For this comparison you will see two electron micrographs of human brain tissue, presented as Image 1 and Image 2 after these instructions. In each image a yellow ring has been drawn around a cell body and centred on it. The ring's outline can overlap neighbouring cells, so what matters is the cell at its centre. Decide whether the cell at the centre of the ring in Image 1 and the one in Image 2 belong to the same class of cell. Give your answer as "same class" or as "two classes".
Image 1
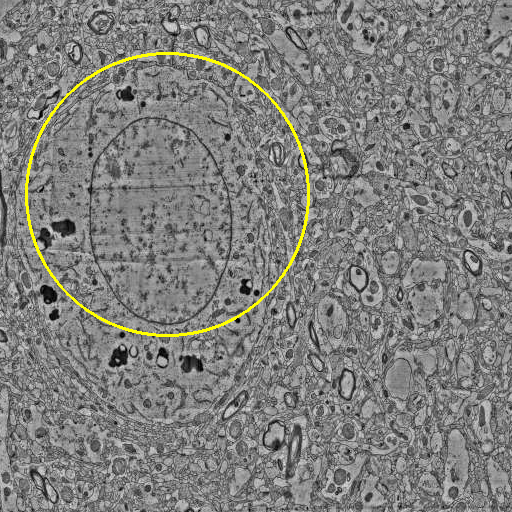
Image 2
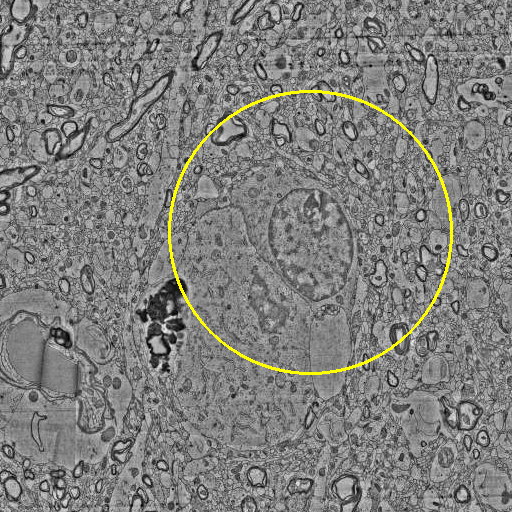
two classes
